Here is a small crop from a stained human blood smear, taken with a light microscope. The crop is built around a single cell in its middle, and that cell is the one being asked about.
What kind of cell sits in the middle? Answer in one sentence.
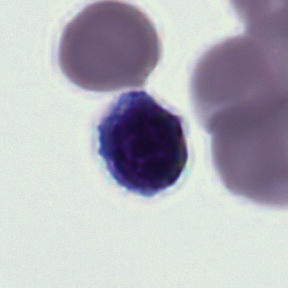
On this slide crop, the central cell is a plasma cell.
